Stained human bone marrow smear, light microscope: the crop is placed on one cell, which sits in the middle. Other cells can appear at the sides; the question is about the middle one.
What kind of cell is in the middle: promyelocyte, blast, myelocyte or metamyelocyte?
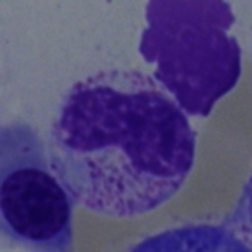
metamyelocyte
